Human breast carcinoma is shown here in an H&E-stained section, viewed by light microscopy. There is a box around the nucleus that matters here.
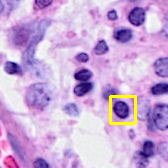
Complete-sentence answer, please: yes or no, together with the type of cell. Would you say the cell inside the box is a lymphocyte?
Yes, with respect to cell type, the cell inside the box is a lymphocyte.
